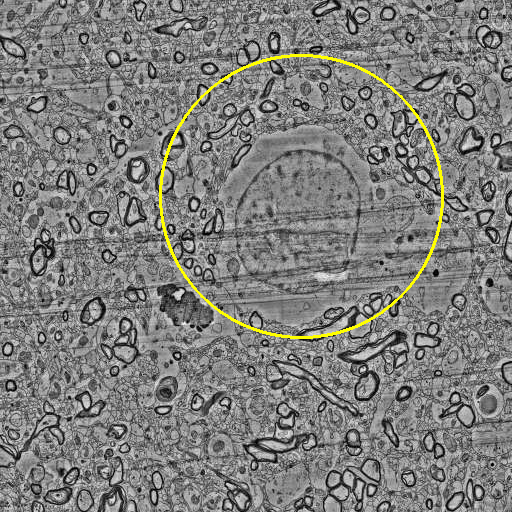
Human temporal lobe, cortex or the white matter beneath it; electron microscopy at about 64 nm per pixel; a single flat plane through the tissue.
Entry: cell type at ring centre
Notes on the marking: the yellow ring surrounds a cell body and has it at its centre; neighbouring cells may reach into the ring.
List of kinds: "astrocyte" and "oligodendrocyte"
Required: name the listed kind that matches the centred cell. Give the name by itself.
astrocyte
